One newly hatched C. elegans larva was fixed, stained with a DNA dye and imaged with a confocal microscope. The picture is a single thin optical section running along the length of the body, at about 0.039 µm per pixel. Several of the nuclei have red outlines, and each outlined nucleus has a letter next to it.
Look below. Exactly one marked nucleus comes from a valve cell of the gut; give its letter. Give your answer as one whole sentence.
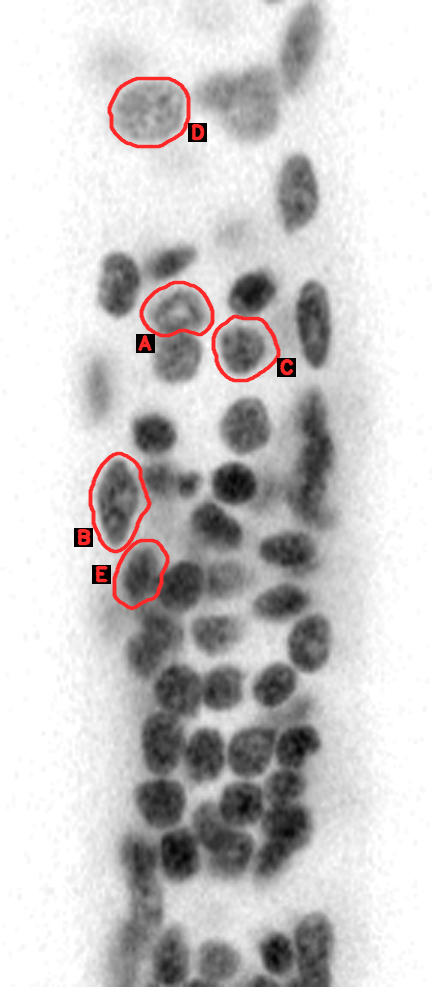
A is the one that belongs to a valve cell of the gut.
